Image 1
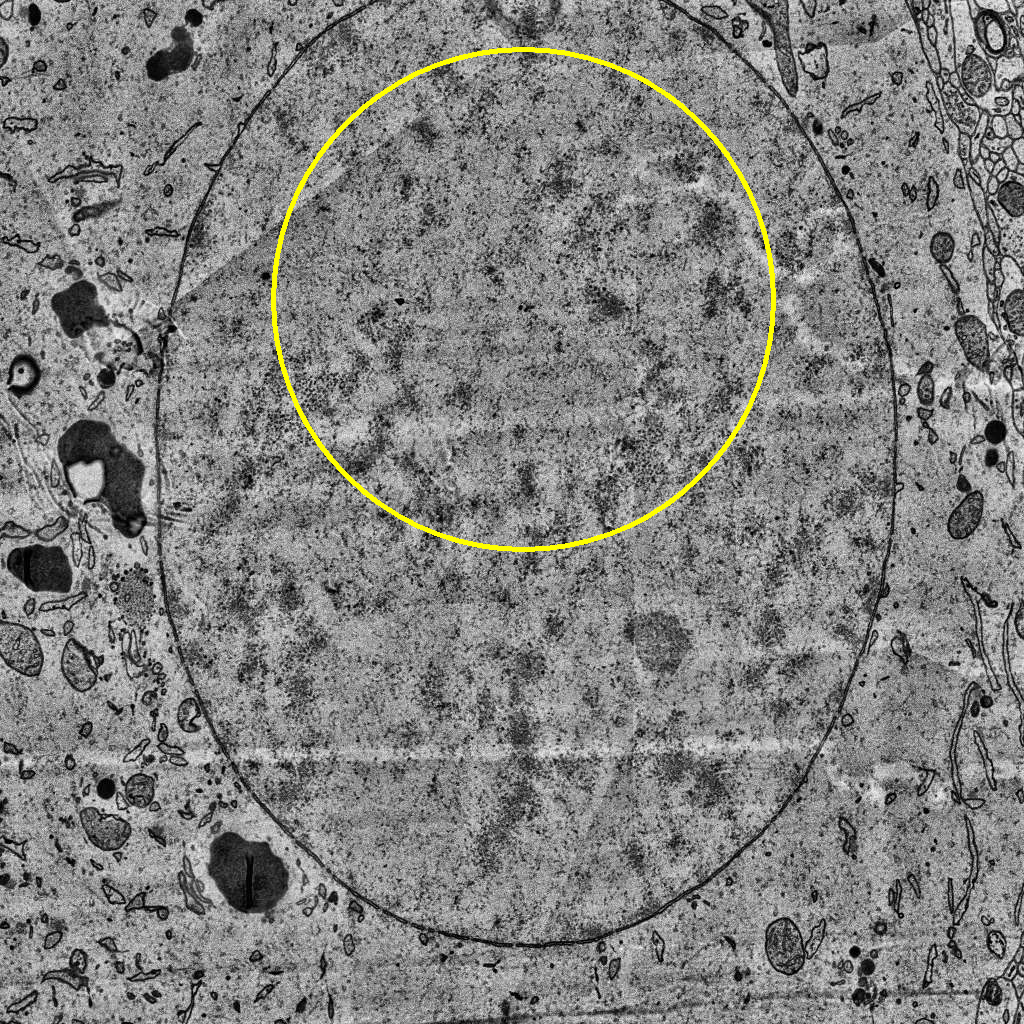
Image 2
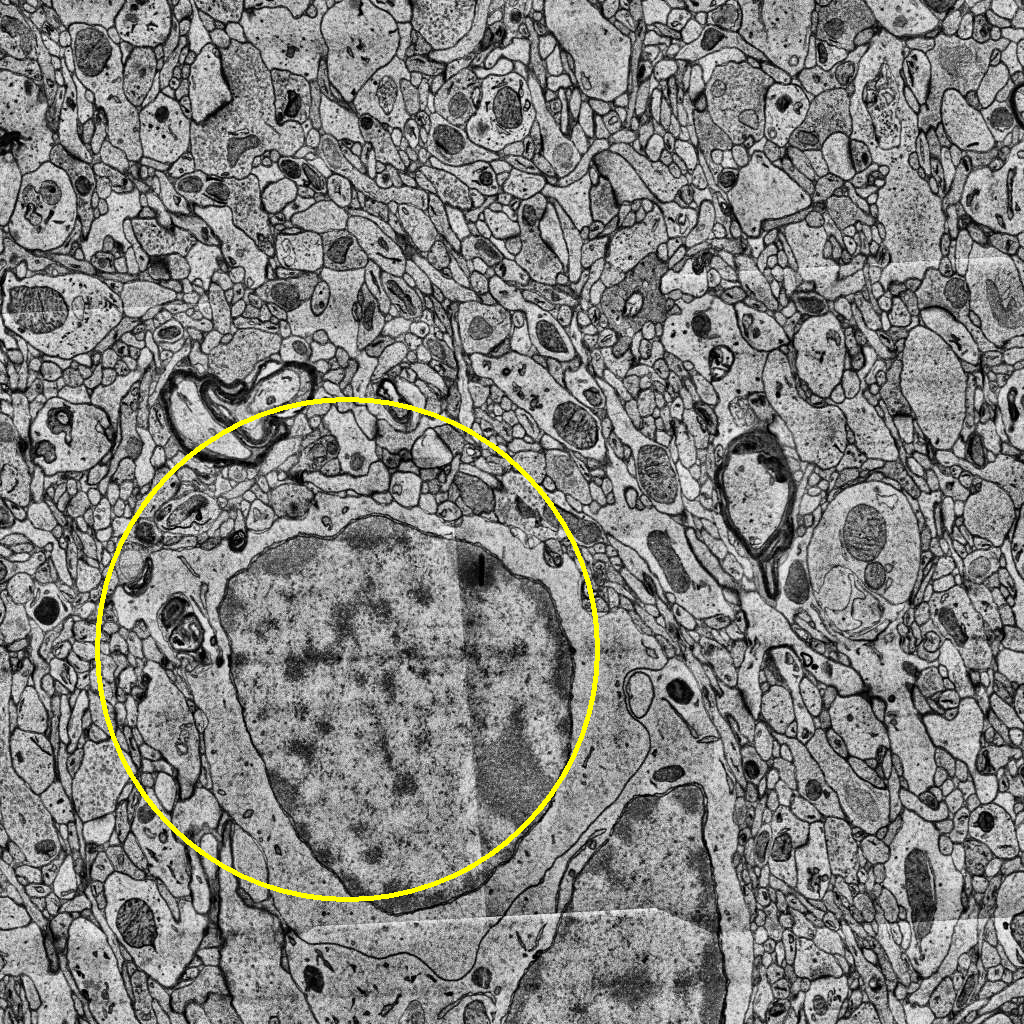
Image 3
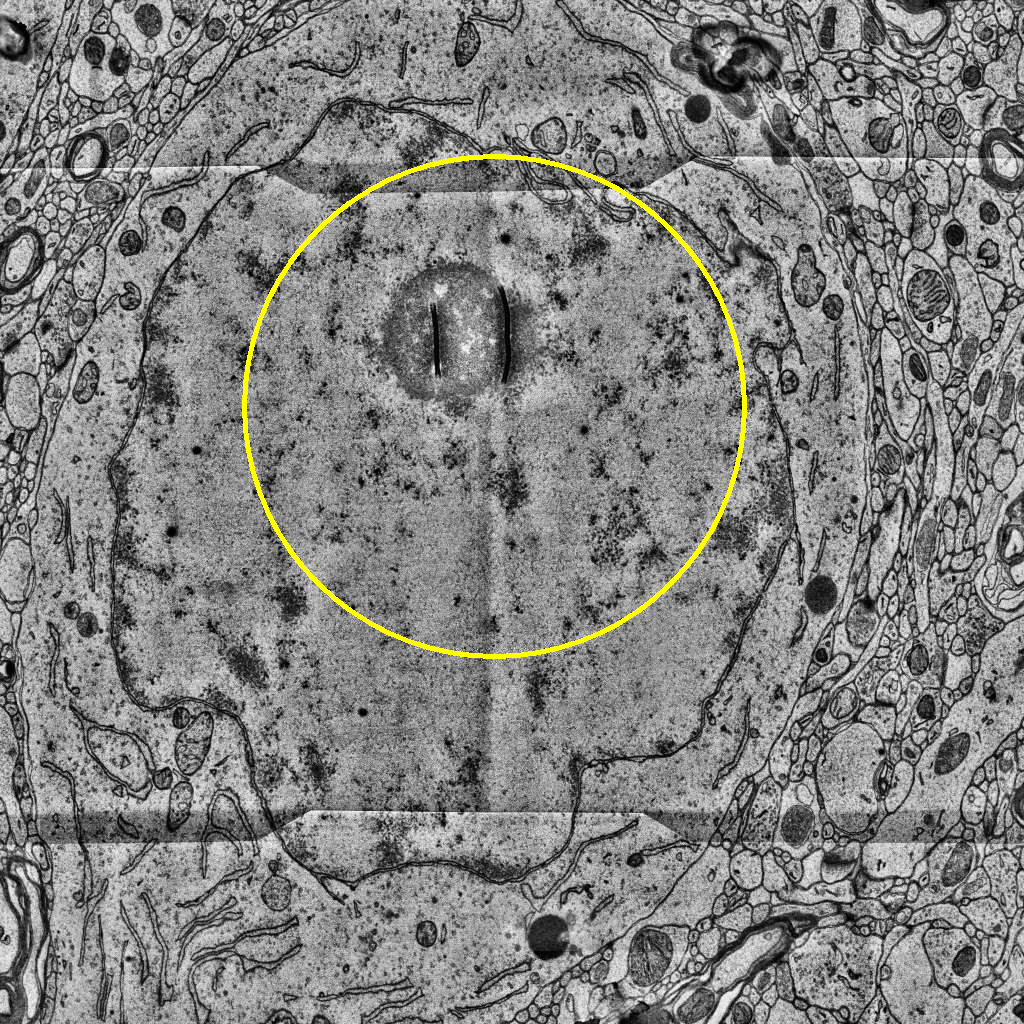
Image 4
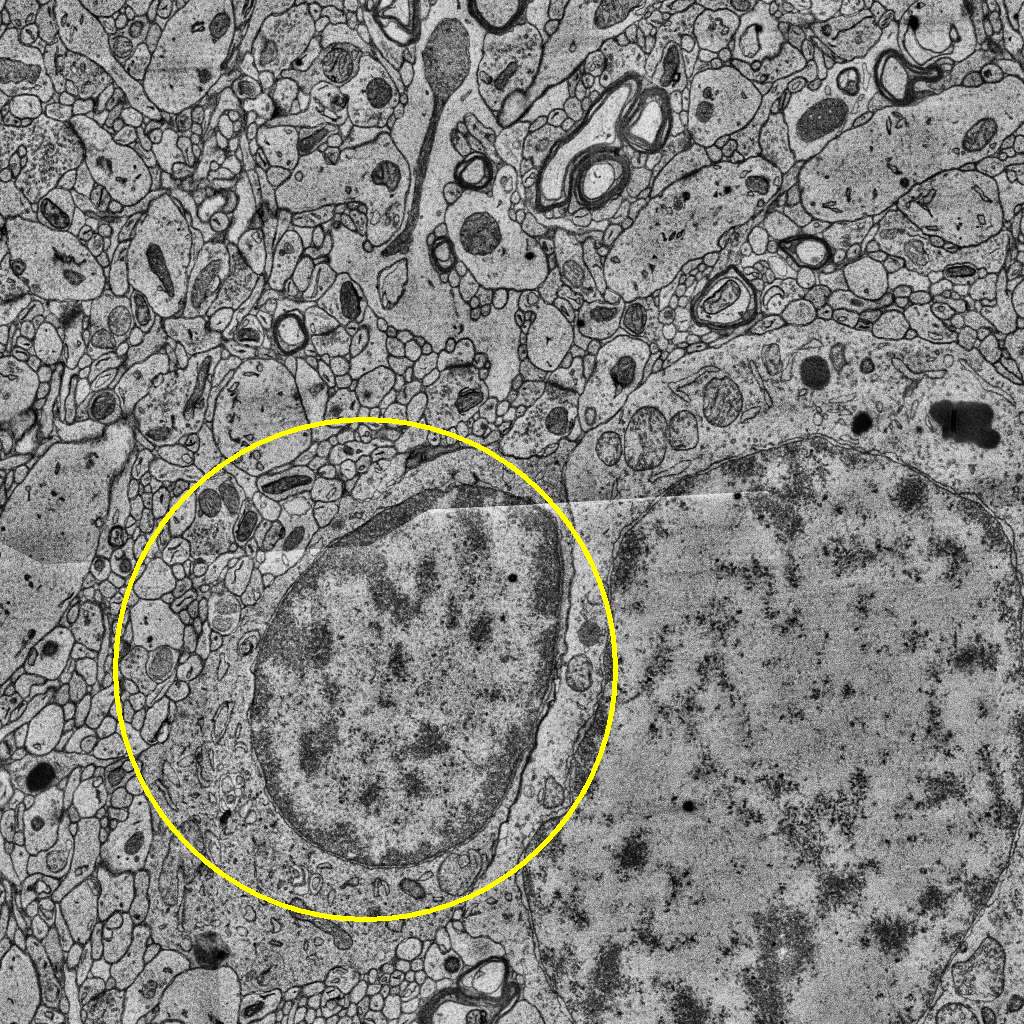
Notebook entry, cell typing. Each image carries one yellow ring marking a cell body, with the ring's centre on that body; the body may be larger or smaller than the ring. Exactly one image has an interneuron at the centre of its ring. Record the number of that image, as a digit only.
3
